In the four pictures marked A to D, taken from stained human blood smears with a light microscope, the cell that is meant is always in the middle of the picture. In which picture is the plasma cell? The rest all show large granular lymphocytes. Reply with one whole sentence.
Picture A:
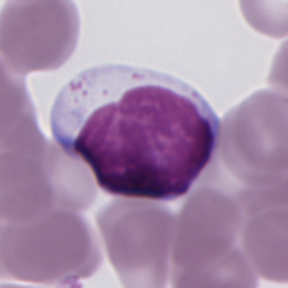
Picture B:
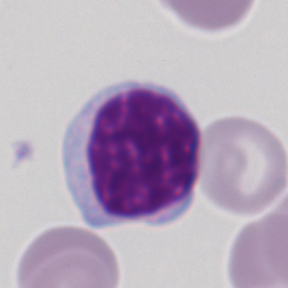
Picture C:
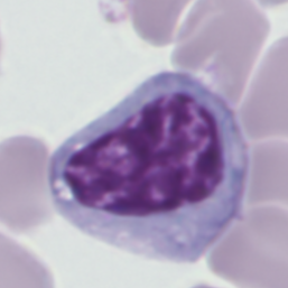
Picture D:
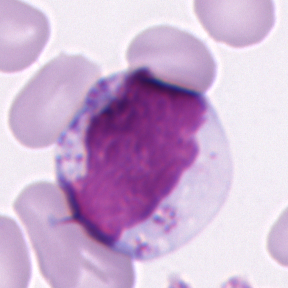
The cell in picture C is the plasma cell.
